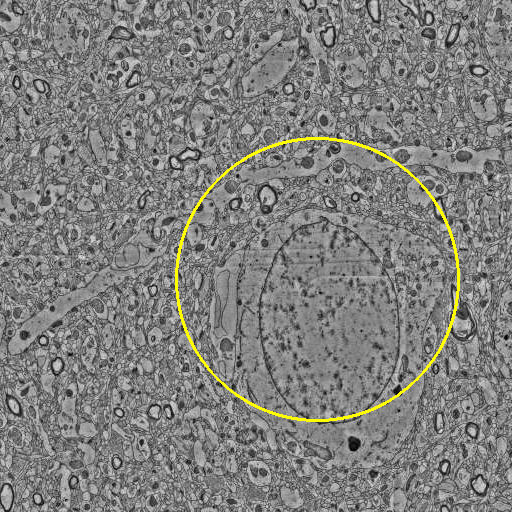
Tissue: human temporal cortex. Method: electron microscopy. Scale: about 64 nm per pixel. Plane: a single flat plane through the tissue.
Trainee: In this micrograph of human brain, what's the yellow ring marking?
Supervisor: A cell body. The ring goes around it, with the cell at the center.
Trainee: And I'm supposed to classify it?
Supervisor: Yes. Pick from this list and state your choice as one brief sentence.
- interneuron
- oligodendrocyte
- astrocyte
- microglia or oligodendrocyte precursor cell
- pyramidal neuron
The cell at the ring's center is a pyramidal neuron.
